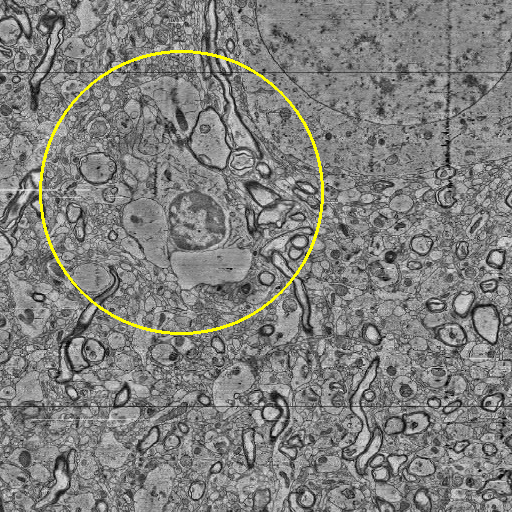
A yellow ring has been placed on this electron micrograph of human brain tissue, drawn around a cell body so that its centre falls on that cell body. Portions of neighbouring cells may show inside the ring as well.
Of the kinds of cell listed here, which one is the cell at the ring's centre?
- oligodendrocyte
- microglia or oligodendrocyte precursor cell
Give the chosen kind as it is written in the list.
microglia or oligodendrocyte precursor cell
